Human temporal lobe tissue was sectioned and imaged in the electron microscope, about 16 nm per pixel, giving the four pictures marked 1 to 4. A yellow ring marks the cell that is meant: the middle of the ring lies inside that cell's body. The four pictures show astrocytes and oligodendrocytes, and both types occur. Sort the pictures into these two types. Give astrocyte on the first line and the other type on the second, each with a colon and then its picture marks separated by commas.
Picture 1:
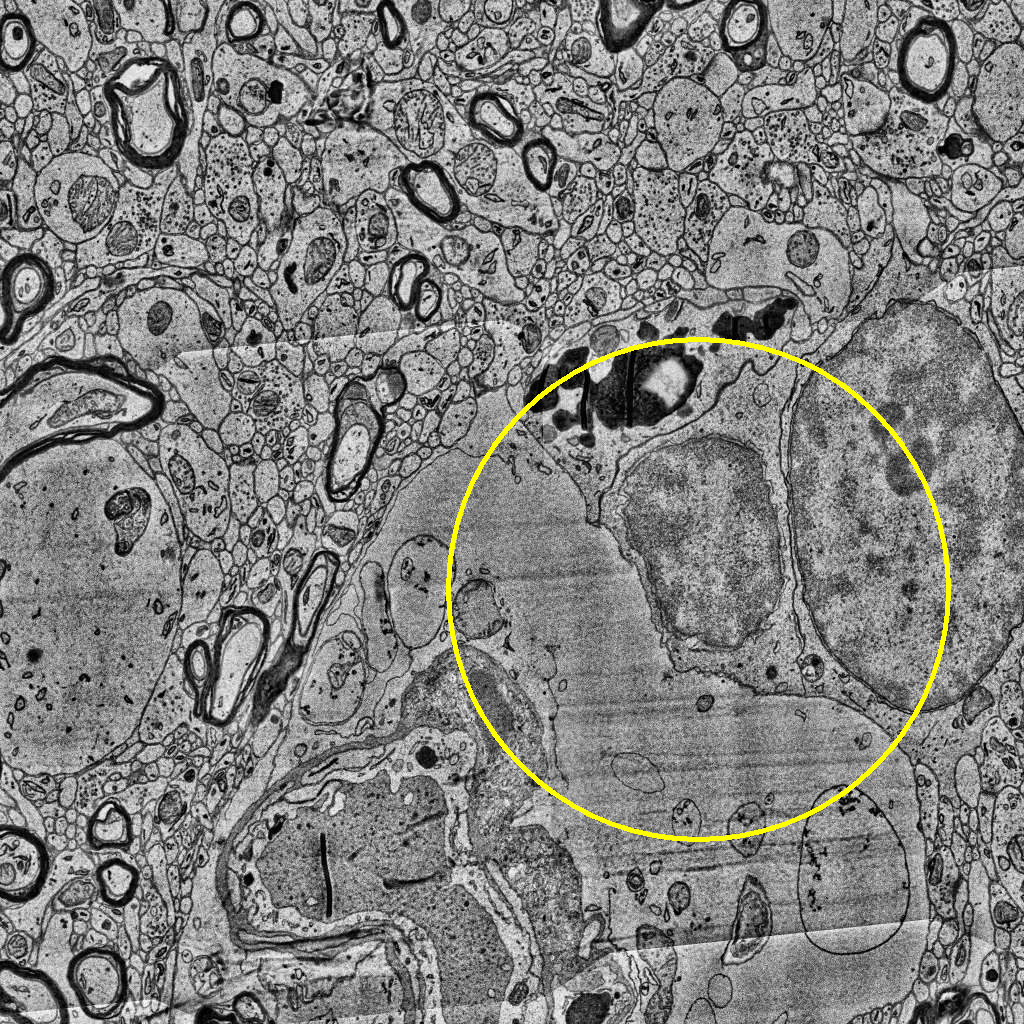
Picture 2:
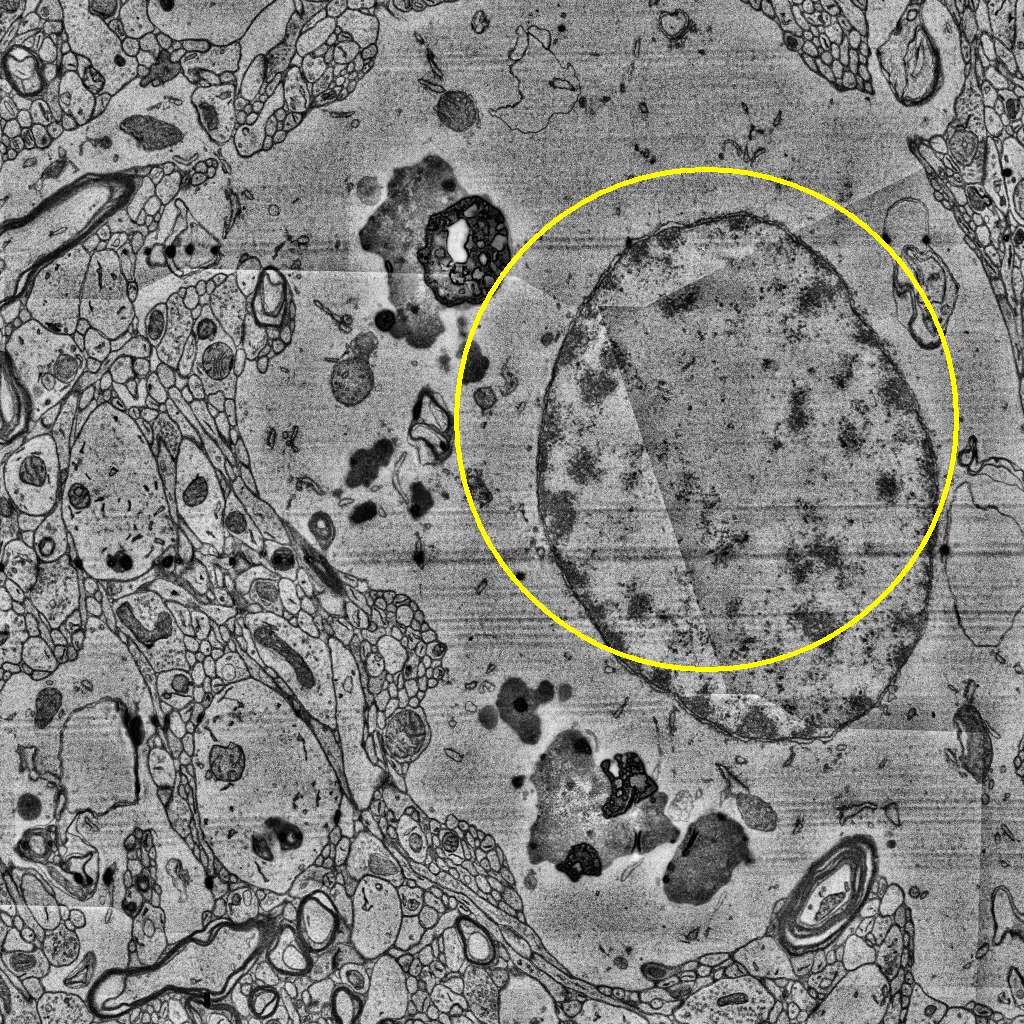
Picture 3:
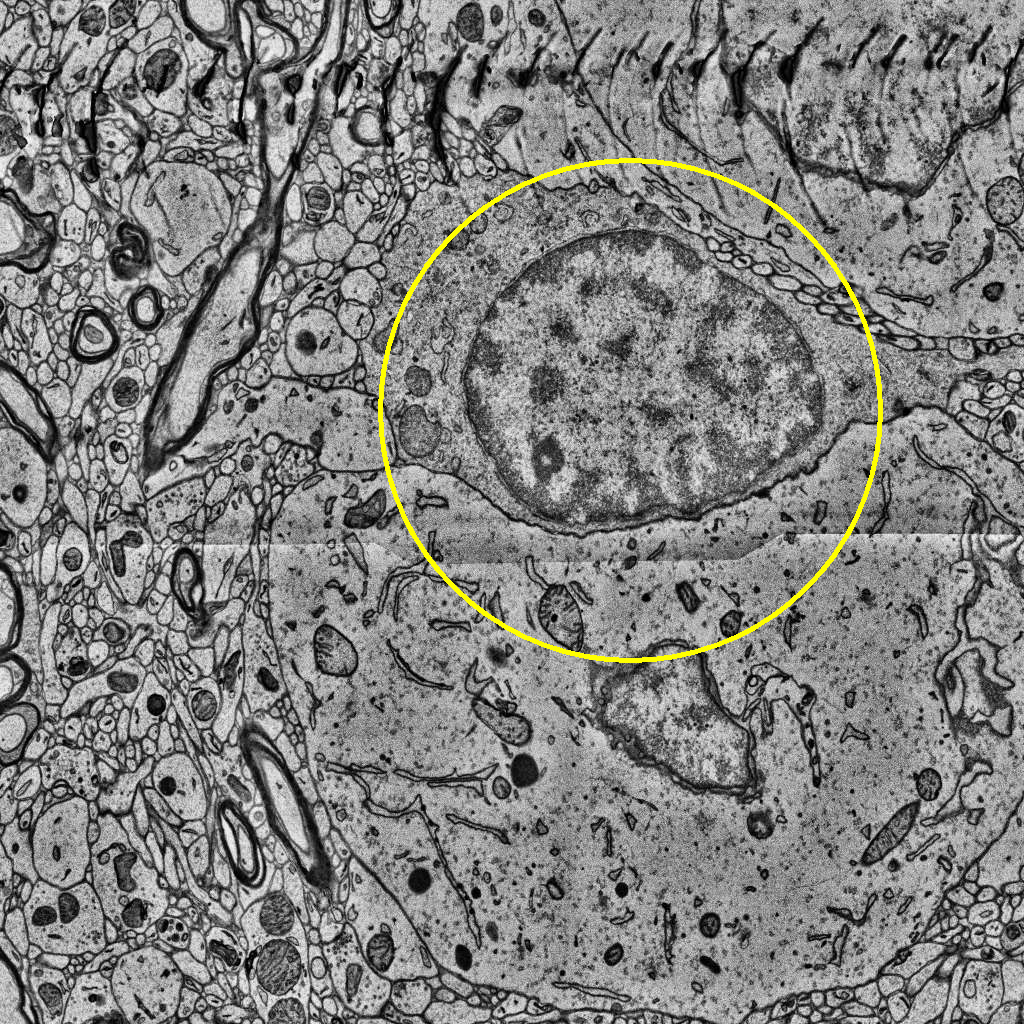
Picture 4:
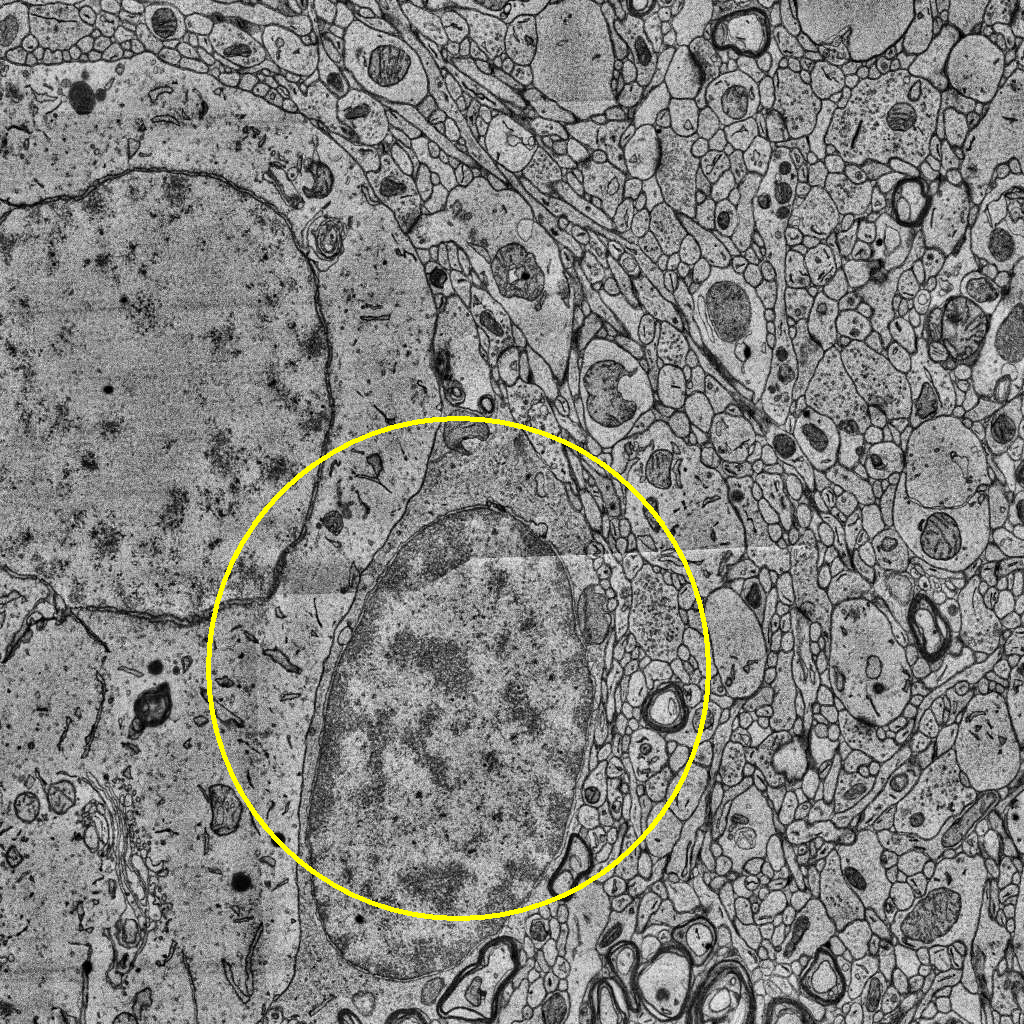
astrocyte: 2
oligodendrocyte: 1, 3, 4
